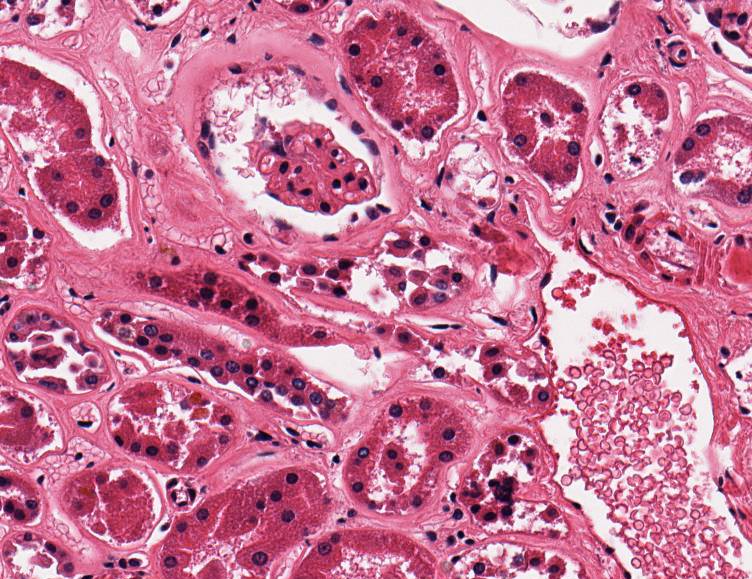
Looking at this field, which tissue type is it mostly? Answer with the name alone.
cortical labyrinth of the kidney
